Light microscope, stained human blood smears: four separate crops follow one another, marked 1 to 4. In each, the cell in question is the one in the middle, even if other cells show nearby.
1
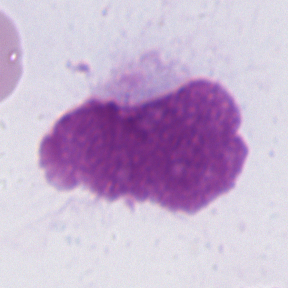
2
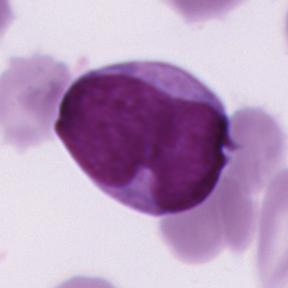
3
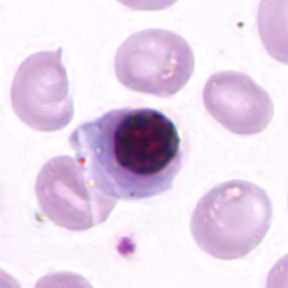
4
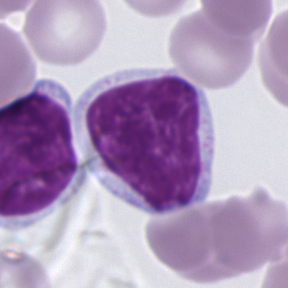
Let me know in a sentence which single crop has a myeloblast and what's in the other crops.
Crop 2 proves to be a myeloblast, while crop 1 is a smudge cell, crop 3 is a normoblast and crop 4 is a large granular lymphocyte.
